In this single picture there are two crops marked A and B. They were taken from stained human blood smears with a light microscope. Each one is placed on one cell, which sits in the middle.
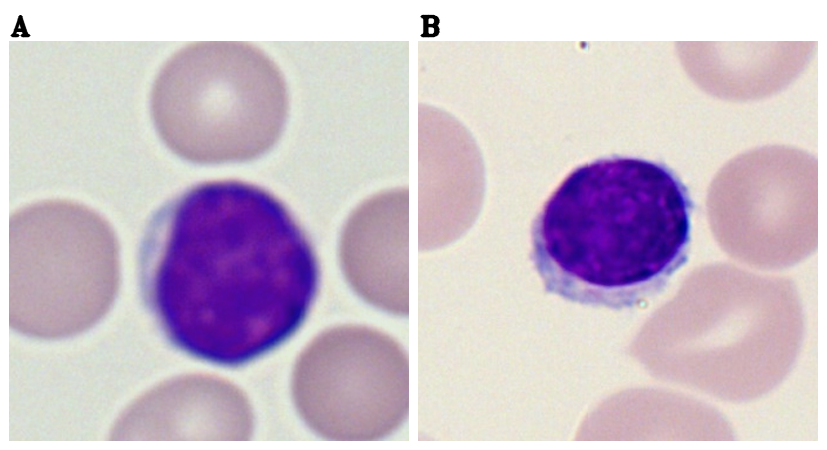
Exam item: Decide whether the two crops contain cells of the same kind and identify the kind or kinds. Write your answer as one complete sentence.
Yes, the two crops show lymphocytes, one cell each.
